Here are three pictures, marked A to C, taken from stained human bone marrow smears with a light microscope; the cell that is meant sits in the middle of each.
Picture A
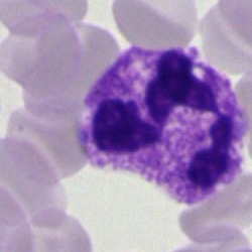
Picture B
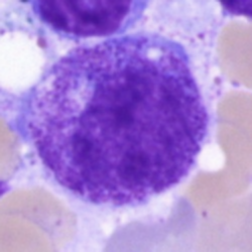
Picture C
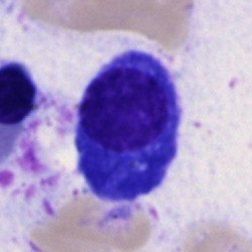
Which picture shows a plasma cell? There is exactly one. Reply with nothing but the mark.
C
